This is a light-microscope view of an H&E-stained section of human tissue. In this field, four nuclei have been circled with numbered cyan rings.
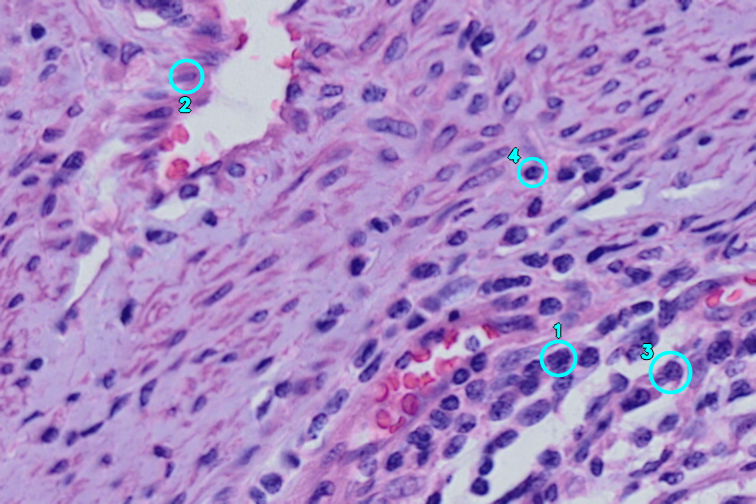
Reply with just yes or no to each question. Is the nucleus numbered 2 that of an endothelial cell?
yes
